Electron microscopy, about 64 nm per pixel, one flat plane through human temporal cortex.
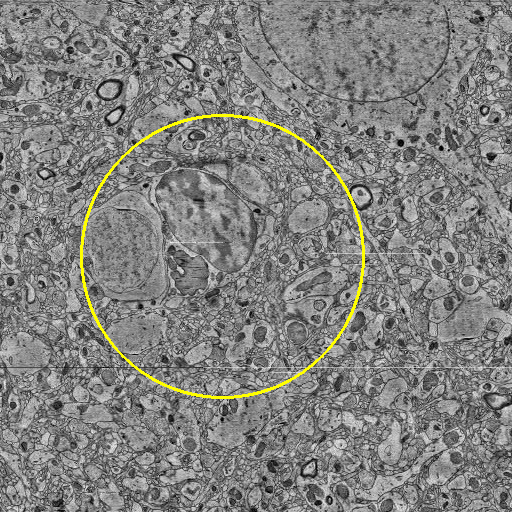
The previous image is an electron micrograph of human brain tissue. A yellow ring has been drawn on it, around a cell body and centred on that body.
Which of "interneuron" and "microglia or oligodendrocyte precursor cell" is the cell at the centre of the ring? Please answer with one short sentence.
The cell body at the centre of the ring belongs to a microglial cell or oligodendrocyte precursor cell.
